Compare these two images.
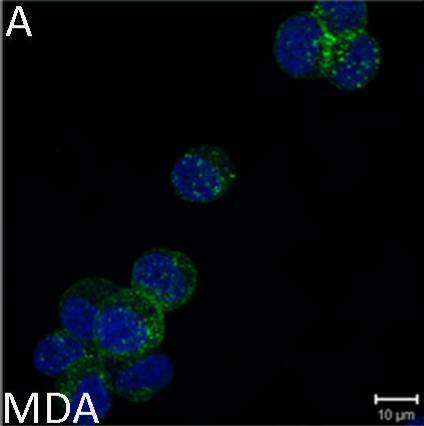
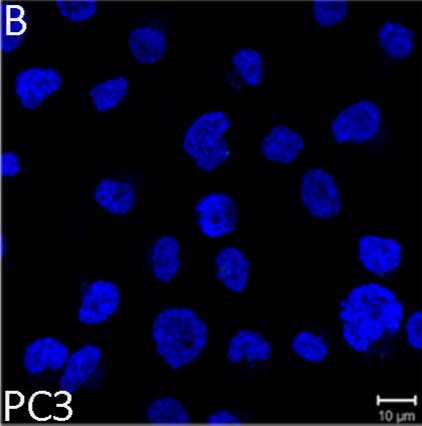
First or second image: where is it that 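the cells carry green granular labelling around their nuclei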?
the first image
